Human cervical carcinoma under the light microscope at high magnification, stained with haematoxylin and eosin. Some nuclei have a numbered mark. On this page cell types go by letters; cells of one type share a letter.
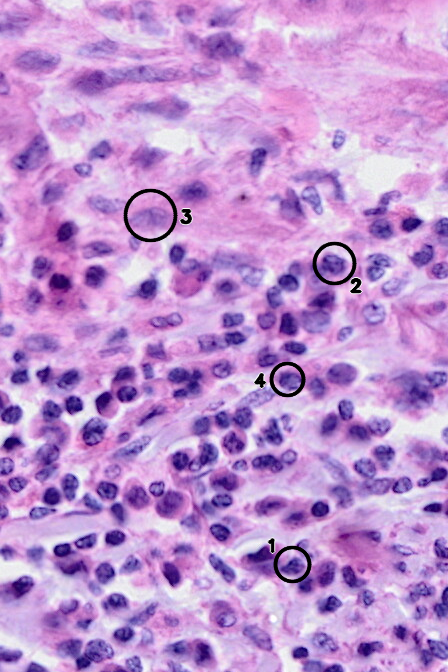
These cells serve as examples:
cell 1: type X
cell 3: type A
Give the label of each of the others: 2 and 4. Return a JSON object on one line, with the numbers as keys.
{"2": "type X", "4": "type X"}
